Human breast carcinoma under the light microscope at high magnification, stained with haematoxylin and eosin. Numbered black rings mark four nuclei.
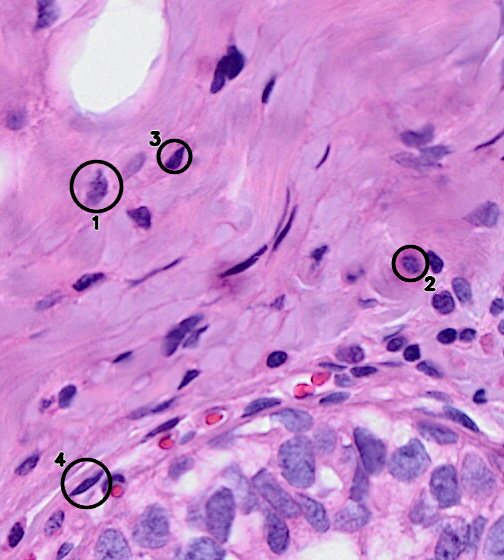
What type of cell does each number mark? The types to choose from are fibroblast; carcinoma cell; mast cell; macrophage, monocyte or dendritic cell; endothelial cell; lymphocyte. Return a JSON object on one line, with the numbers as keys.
{"1": "fibroblast", "2": "mast cell", "3": "fibroblast", "4": "fibroblast"}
